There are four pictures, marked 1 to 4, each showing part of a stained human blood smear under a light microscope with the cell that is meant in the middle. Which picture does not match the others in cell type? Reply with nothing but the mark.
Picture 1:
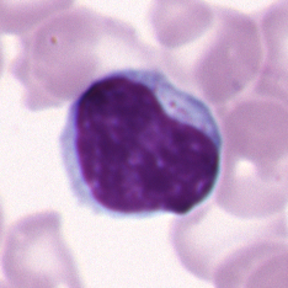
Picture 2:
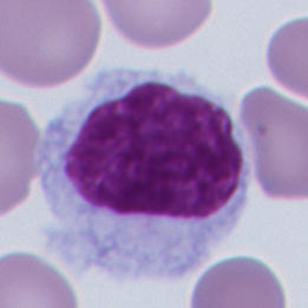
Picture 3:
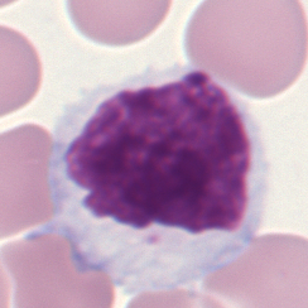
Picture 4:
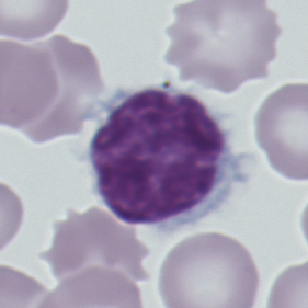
1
